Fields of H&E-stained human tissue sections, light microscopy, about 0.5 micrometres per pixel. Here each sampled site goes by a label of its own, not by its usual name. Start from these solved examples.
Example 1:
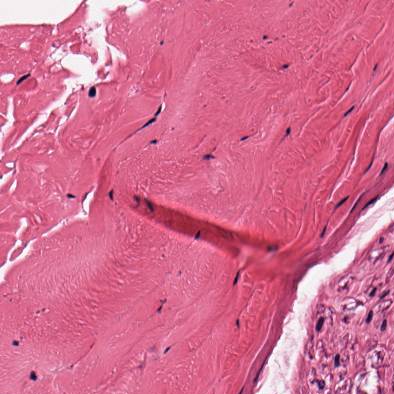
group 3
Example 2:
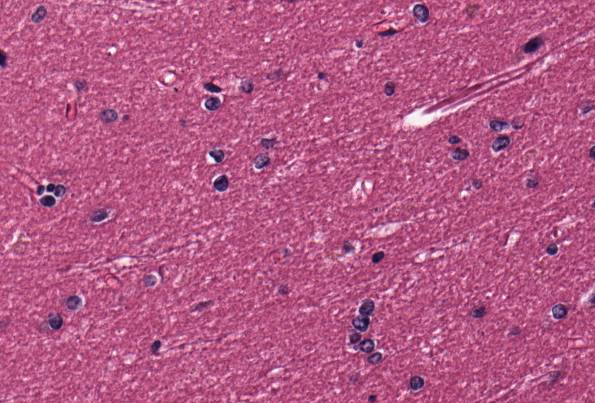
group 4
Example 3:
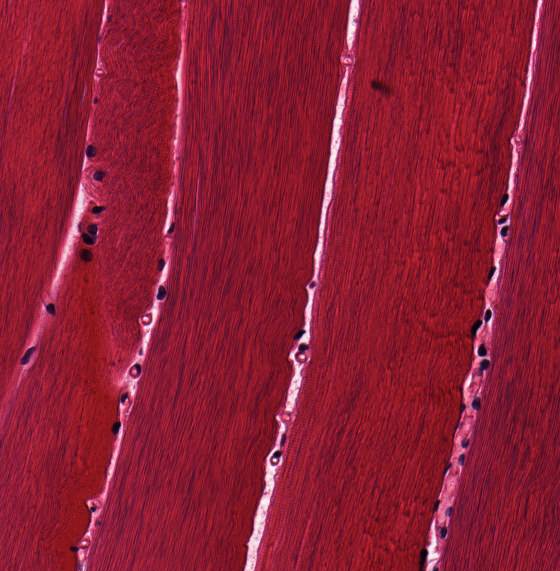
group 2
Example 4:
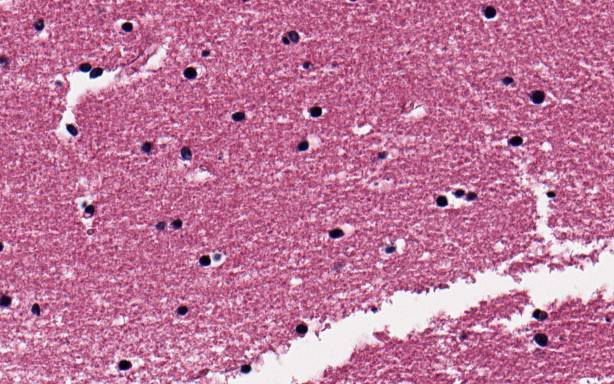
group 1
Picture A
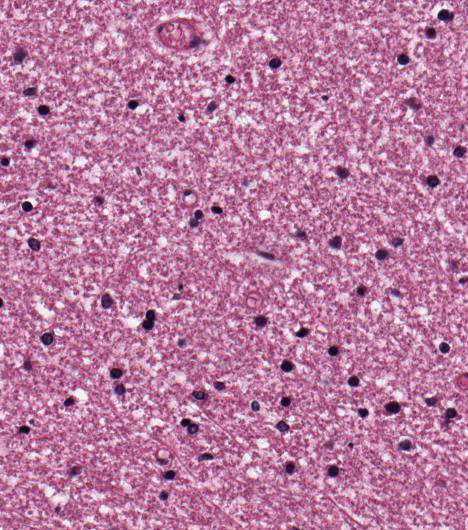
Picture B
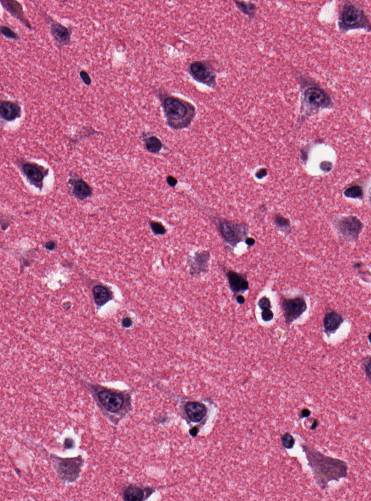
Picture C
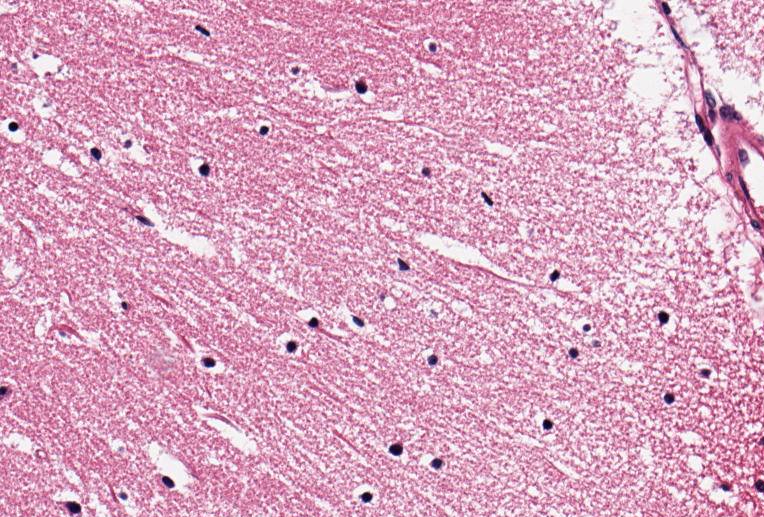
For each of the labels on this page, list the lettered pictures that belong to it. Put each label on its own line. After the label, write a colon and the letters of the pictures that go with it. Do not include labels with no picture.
group 4: B
group 1: A, C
